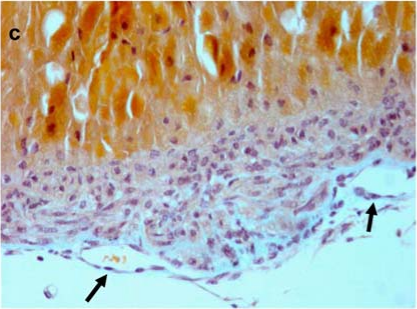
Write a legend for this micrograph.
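A cellular layer with small blood vessels lies beneath orange-brown tissue. At the top, the orange-brown tissue contains elongated structures and scattered nuclei. Below it, a band of densely packed cells shows many oval to elongated purple nuclei arranged in several rows. Beneath this band, loose pale blue fibrous tissue contains thin-walled channels lined by flattened cells. One of these channels holds small orange bodies, the red blood cells.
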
